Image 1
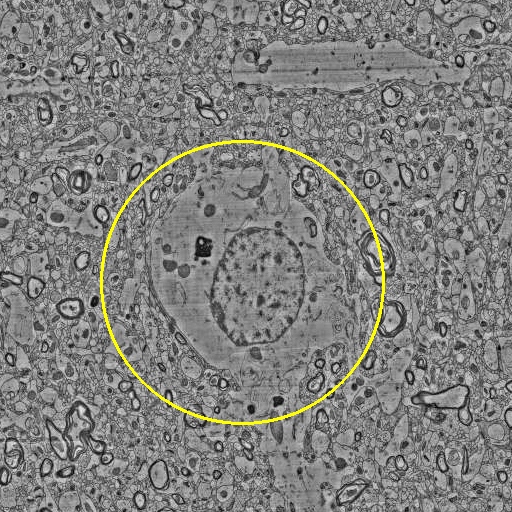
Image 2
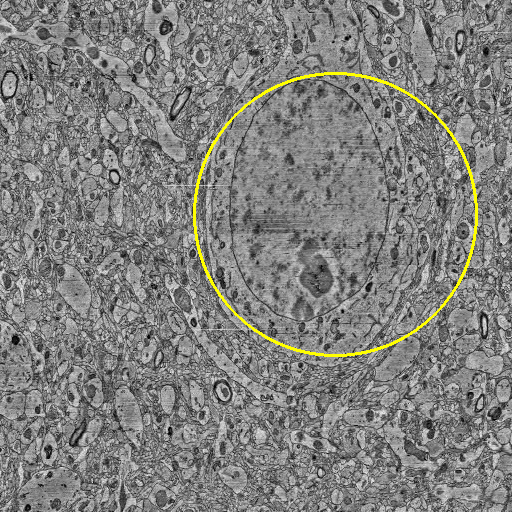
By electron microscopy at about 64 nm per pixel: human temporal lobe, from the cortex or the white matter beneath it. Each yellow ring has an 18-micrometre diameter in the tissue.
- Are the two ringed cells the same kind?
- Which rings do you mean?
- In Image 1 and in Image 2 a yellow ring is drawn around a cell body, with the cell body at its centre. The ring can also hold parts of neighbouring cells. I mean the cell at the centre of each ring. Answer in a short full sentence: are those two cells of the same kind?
No, the cells are of two kinds.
